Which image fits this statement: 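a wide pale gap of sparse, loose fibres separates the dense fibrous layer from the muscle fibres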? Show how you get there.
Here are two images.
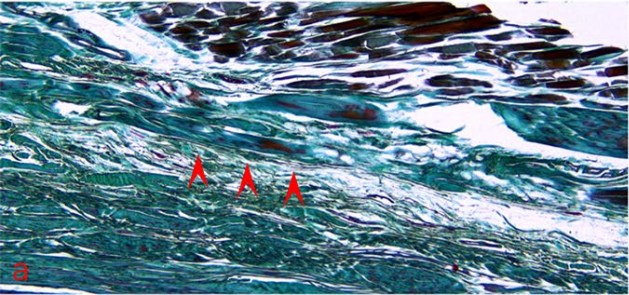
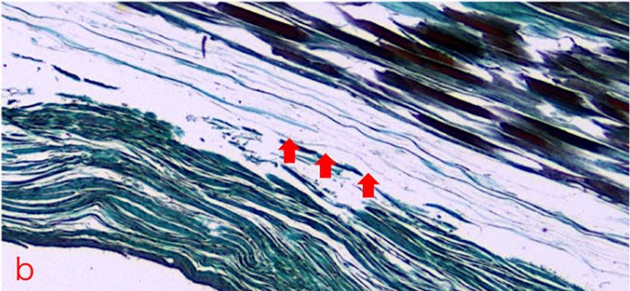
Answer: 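First image: green fibrous layers and red-brown muscle fibres lie close together and interweave without a broad clear gap. Second image: a broad pale band with thin sparse fibres lies between the dense green layer and the dark muscle fibres. On this evidence: the second image.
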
